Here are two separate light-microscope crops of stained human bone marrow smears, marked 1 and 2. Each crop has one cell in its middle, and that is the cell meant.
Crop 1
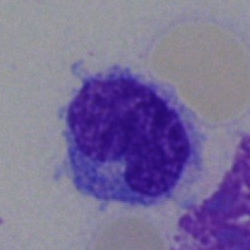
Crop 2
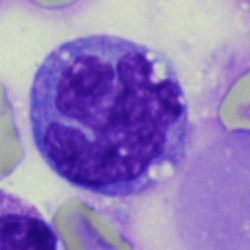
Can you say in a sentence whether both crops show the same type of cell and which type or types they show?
Yes, both crops depict monocytes at the centre.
